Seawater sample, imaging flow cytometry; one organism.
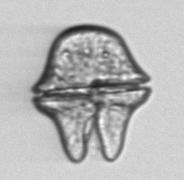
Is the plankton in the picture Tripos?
No, it is Akashiwo.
